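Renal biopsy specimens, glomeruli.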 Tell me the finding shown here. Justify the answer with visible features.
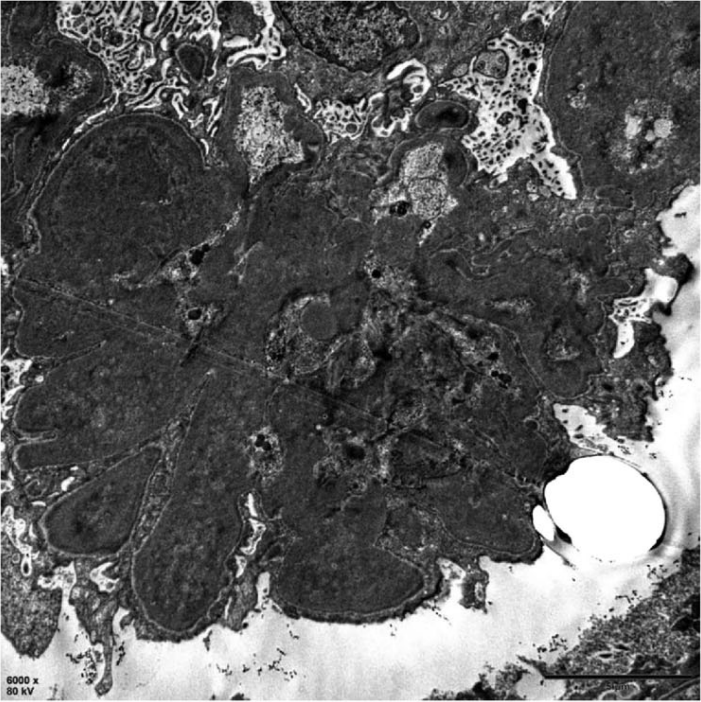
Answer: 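Dark, dense material fills lobulated capillary loops. The dark material lies inside the loops, beneath the thin basement membrane line. Urinary space with podocyte processes lies outside the loops. On this evidence: electric-dense deposits in subendothelial areas.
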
